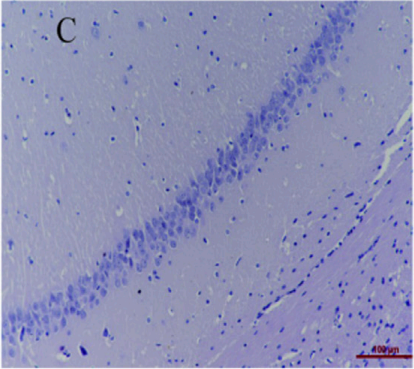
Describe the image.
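A band of neurons with blue-purple stained, rounded to triangular cell bodies, packed several cells deep, curves across the hippocampal tissue from the lower left to the upper right. Pale, lightly stained tissue lies on both sides of the band, with small dark nuclei scattered through it. Toward the lower right there are more densely set small nuclei. The band is the pyramidal cell layer of the hippocampus.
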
